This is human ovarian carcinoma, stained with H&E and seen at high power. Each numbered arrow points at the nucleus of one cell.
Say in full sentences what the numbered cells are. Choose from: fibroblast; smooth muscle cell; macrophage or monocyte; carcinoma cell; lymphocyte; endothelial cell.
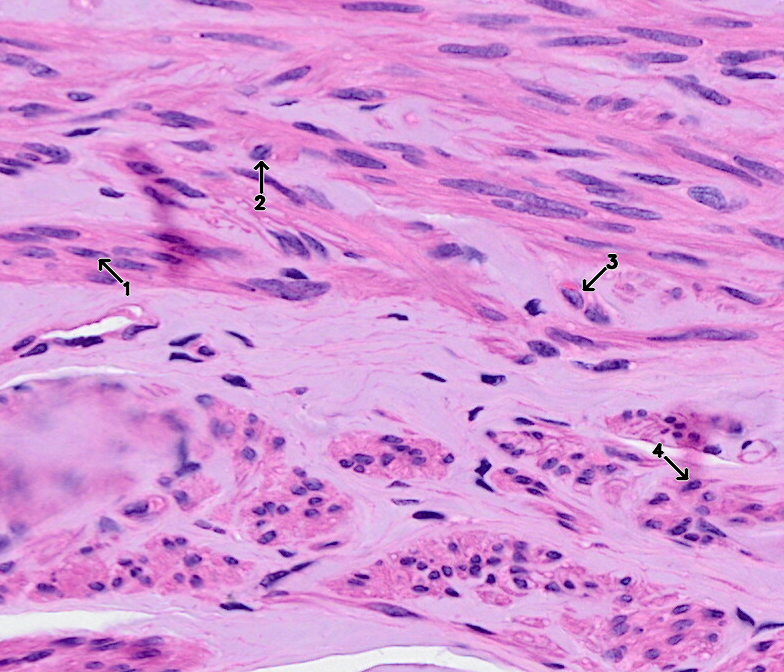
Cells 1, 2 and 4 are smooth muscle cells. Cell 3 is an endothelial cell.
